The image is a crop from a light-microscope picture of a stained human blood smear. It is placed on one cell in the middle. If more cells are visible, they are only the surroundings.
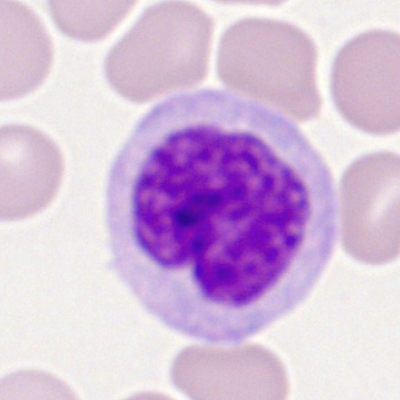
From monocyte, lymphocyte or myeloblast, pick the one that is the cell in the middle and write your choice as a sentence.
The cell of interest, located centrally, is a monocyte.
